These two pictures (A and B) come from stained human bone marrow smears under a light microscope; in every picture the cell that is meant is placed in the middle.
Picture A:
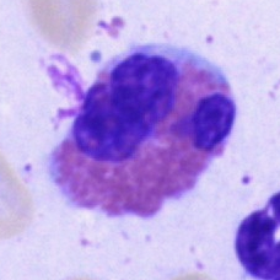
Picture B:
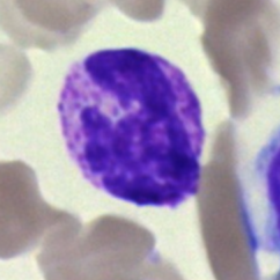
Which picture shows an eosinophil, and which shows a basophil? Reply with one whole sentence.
Picture A is of an eosinophil, and picture B is of a basophil.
